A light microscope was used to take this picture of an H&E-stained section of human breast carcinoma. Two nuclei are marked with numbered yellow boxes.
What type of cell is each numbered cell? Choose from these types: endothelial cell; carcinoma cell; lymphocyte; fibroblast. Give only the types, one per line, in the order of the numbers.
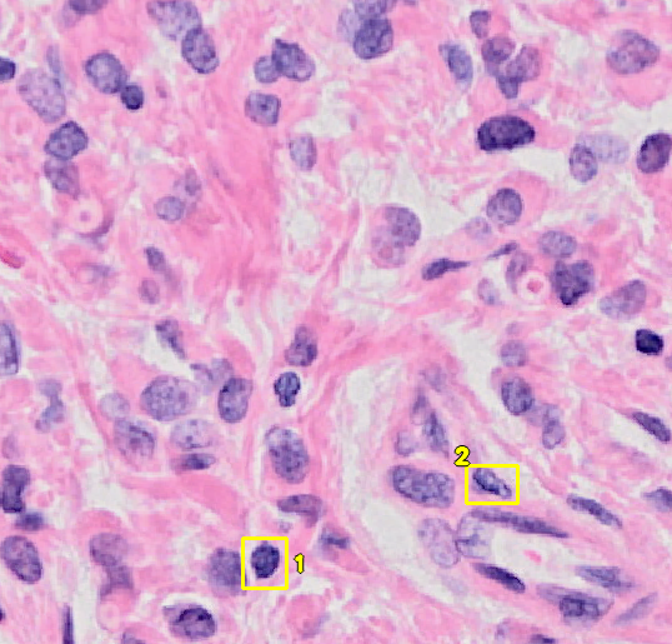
lymphocyte
endothelial cell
